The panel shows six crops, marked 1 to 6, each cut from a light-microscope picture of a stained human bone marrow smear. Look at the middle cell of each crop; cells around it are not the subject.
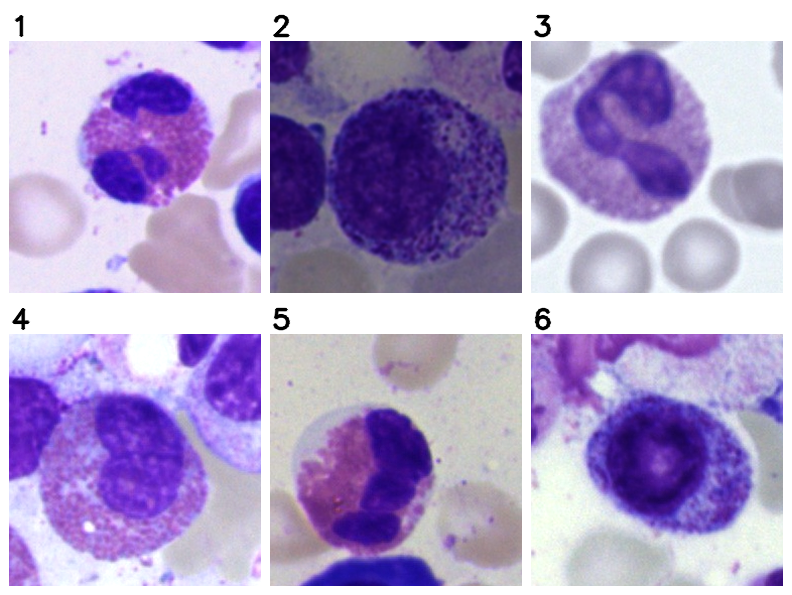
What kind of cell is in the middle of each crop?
1: eosinophil
2: myelocyte
3: eosinophil
4: eosinophil
5: eosinophil
6: myelocyte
